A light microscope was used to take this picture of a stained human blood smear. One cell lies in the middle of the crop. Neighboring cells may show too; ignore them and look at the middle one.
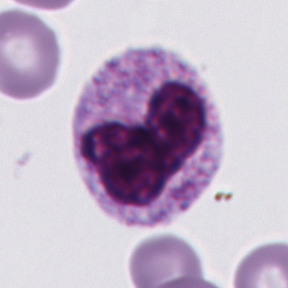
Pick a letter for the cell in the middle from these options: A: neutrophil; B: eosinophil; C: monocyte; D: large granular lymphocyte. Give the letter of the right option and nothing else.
A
